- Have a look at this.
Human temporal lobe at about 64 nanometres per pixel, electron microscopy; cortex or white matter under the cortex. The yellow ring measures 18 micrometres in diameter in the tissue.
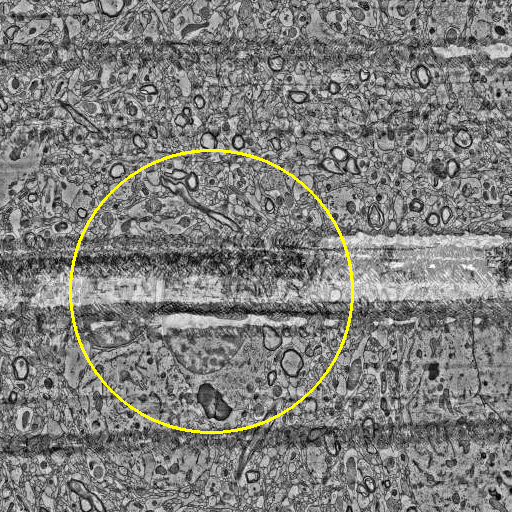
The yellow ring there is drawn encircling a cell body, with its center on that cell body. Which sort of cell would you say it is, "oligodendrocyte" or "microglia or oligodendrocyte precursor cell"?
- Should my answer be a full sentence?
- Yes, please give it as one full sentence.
For this picture, an oligodendrocyte is the cell where the yellow ring has its center.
